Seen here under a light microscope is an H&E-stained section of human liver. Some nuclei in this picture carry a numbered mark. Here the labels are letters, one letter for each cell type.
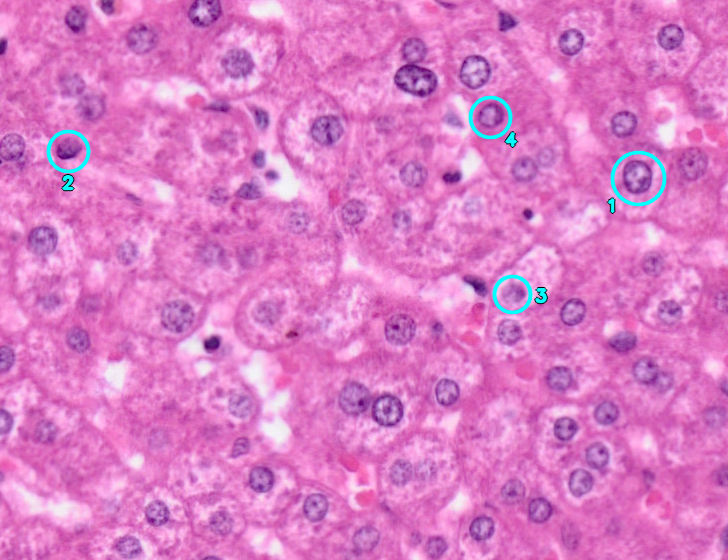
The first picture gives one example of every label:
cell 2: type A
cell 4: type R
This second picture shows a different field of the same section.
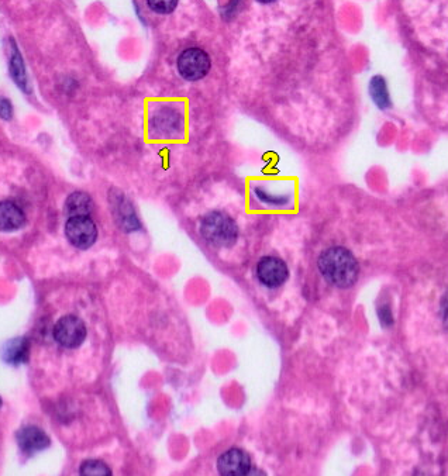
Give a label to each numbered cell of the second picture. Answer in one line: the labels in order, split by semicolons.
type R; type A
